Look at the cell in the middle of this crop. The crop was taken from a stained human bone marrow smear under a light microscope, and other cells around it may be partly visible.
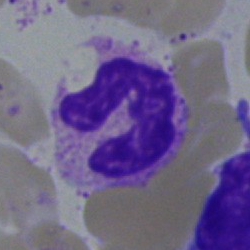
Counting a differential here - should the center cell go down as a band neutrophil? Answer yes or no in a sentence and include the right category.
No, in the middle of the crop there is a segmented neutrophil rather than a band neutrophil.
